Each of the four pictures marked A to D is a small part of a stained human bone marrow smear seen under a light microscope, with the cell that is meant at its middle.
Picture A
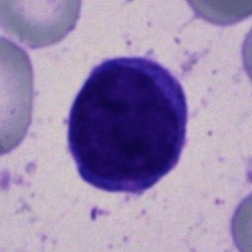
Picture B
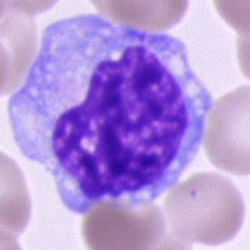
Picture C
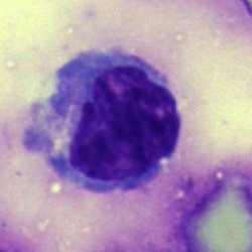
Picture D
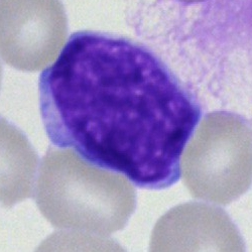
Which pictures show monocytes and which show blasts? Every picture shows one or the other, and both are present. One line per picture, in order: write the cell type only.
blast
monocyte
monocyte
blast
